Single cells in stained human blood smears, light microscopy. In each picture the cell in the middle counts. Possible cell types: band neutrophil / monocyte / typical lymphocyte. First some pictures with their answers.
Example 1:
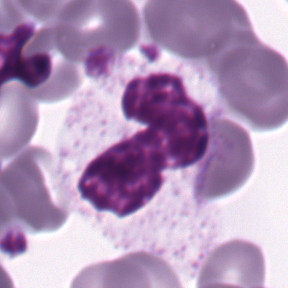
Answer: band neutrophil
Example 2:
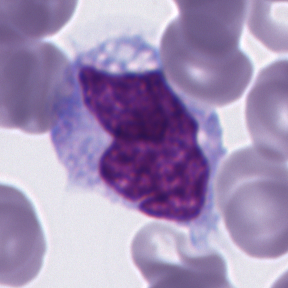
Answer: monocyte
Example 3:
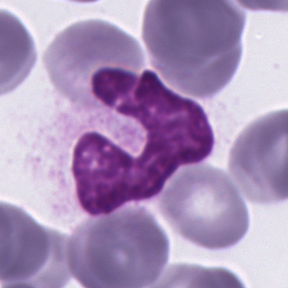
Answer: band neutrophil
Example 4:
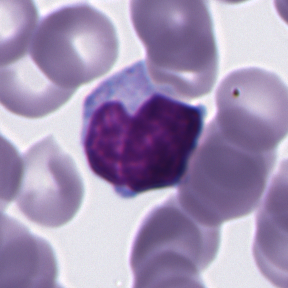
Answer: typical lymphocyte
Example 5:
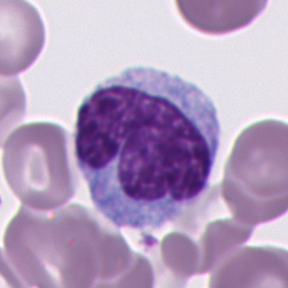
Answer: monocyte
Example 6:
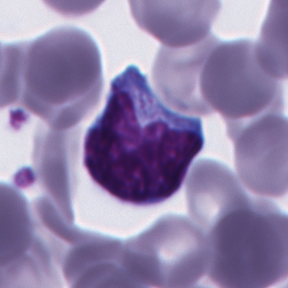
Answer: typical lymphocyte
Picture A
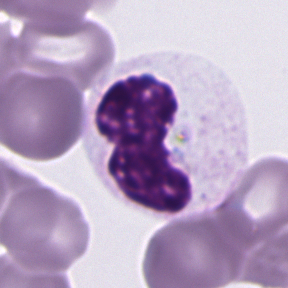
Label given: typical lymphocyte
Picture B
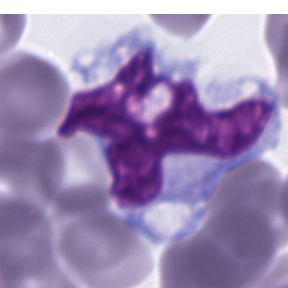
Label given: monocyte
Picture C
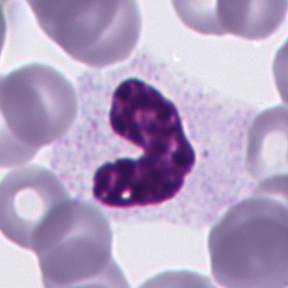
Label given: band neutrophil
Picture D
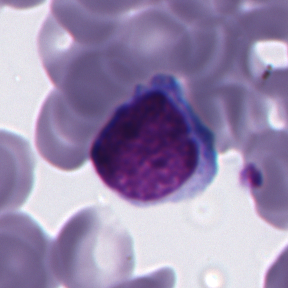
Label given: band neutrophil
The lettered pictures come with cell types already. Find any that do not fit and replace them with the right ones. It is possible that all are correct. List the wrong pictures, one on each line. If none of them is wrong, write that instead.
Wrong: A (typical lymphocyte); correct: band neutrophil
Wrong: D (band neutrophil); correct: typical lymphocyte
